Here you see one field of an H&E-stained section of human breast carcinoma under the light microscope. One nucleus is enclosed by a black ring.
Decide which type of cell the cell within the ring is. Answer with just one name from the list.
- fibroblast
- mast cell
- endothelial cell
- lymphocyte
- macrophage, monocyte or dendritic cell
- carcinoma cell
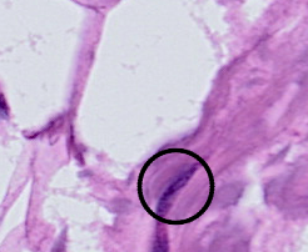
fibroblast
